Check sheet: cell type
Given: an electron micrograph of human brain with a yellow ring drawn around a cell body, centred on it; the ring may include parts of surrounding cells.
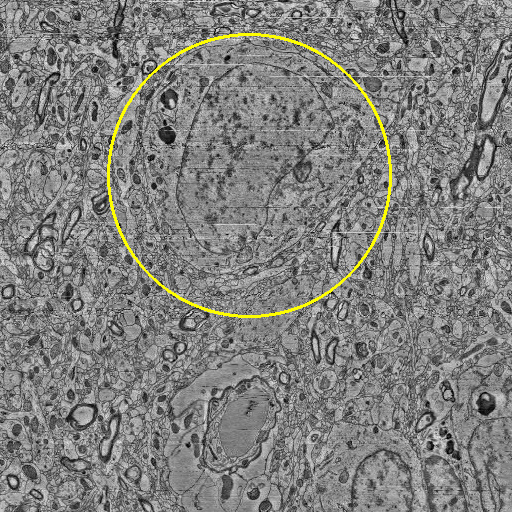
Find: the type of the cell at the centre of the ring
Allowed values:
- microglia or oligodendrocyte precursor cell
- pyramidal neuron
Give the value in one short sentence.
Here the ringed cell is a pyramidal neuron.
